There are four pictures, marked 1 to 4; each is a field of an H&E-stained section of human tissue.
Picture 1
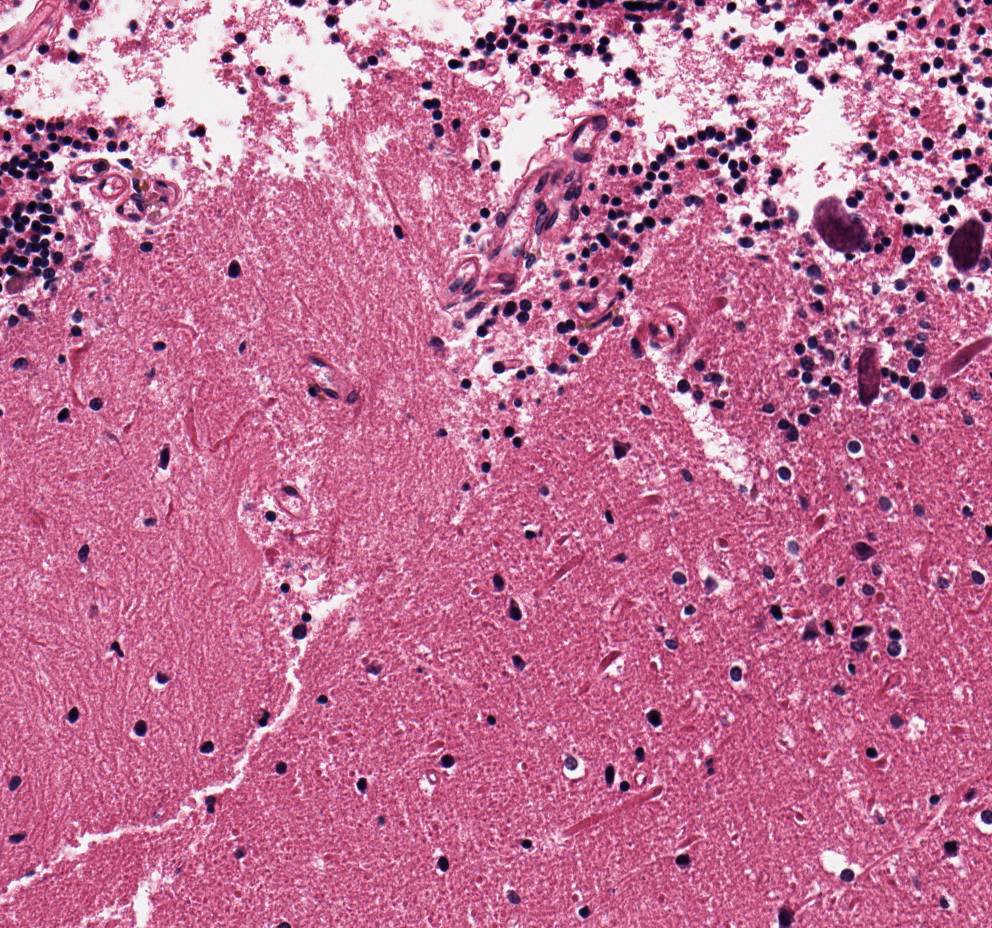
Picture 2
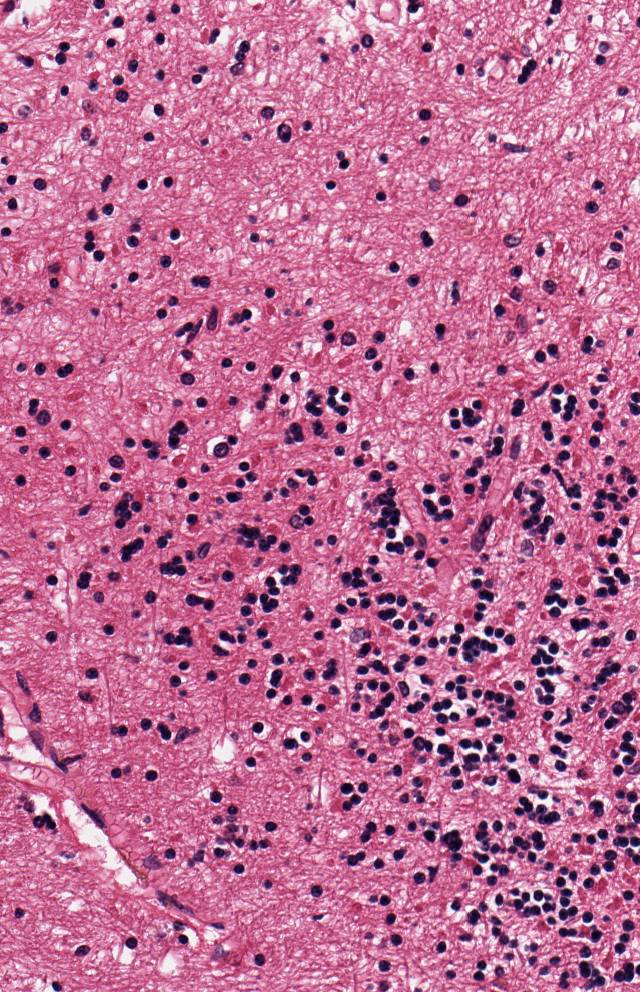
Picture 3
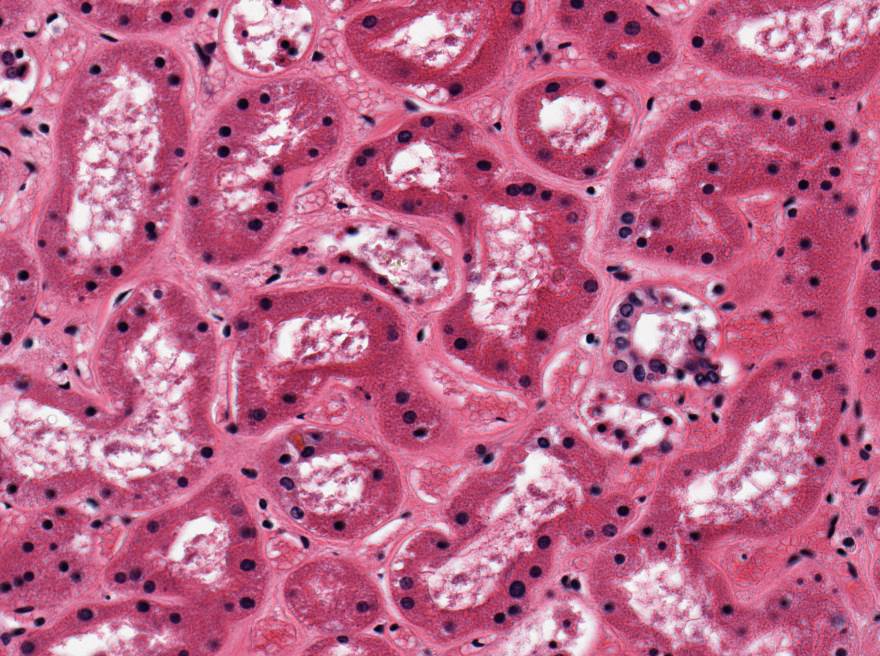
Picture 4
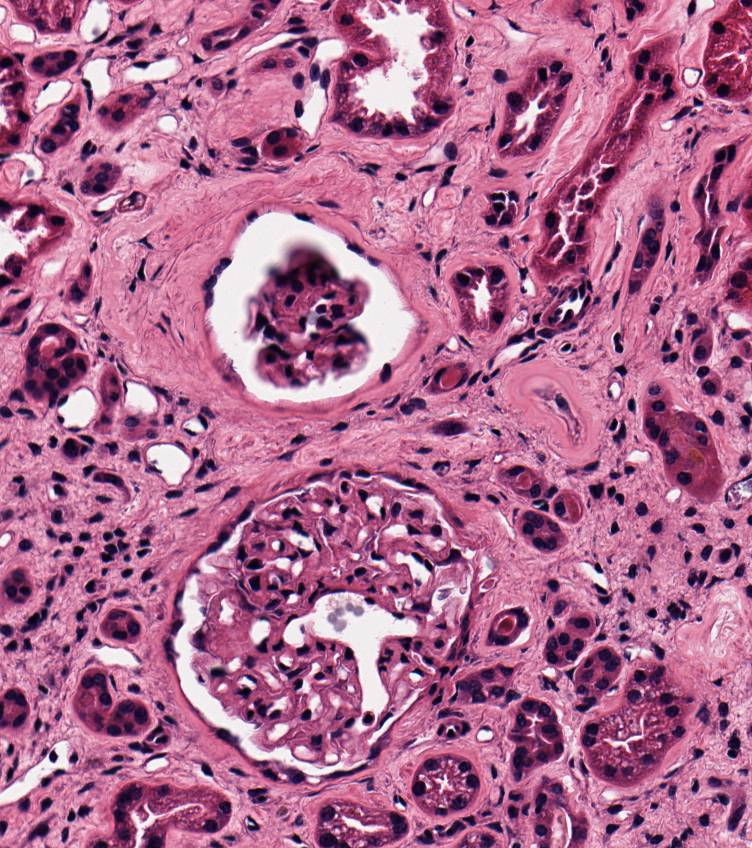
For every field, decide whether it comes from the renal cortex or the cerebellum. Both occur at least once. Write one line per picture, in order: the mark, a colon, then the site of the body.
1: cerebellum
2: cerebellum
3: renal cortex
4: renal cortex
